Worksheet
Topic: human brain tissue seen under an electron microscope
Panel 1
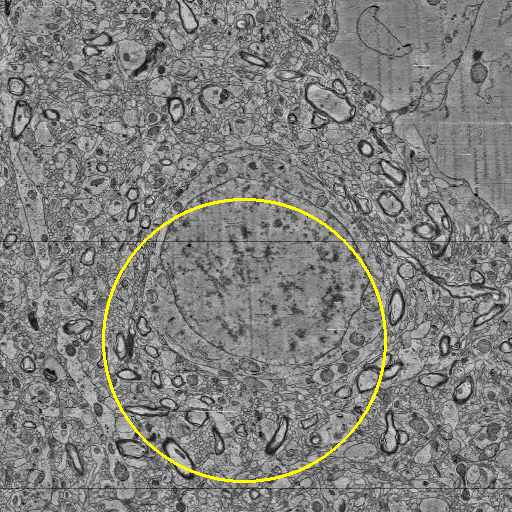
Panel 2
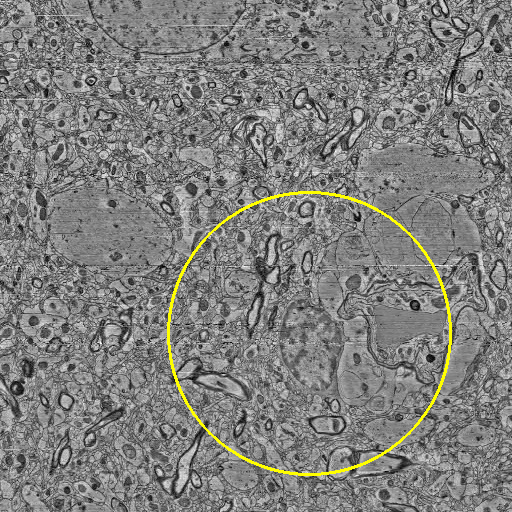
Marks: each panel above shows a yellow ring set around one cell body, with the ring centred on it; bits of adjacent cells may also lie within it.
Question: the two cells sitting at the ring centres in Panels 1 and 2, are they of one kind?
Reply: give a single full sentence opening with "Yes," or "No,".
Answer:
No, the two ring-centre cells in Panel 1 and Panel 2 are of two kinds.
